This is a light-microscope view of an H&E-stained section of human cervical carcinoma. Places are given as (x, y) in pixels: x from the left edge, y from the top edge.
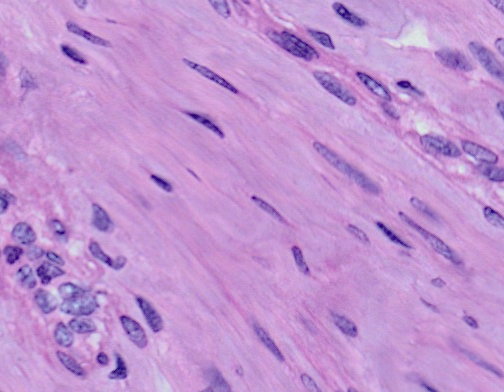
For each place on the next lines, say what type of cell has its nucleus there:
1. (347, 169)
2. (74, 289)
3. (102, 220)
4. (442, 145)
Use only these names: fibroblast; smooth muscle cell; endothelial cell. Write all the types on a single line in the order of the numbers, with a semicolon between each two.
smooth muscle cell; endothelial cell; fibroblast; endothelial cell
